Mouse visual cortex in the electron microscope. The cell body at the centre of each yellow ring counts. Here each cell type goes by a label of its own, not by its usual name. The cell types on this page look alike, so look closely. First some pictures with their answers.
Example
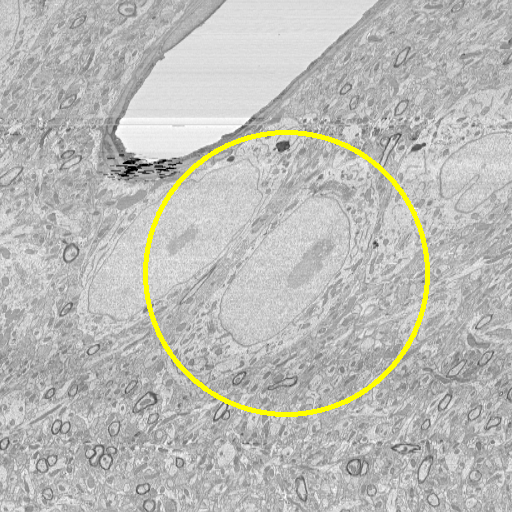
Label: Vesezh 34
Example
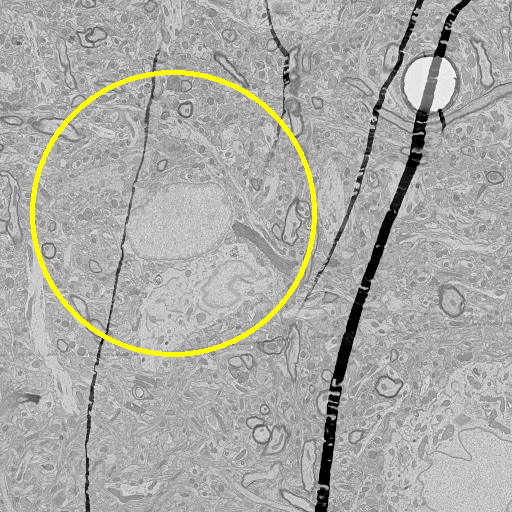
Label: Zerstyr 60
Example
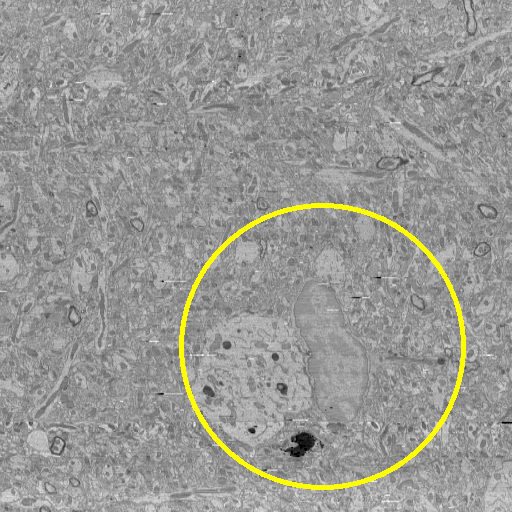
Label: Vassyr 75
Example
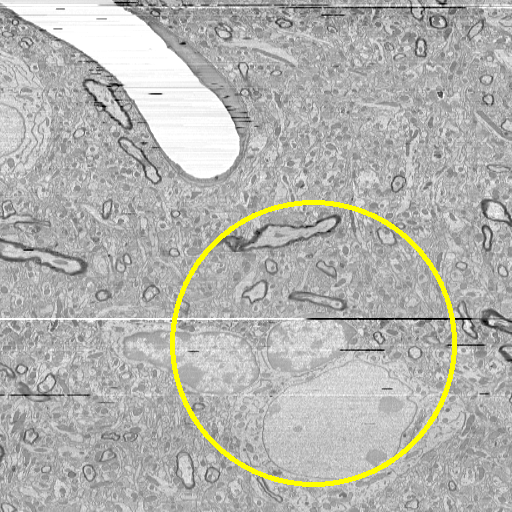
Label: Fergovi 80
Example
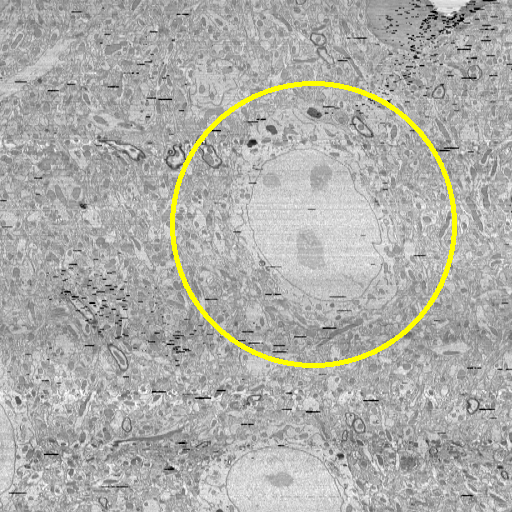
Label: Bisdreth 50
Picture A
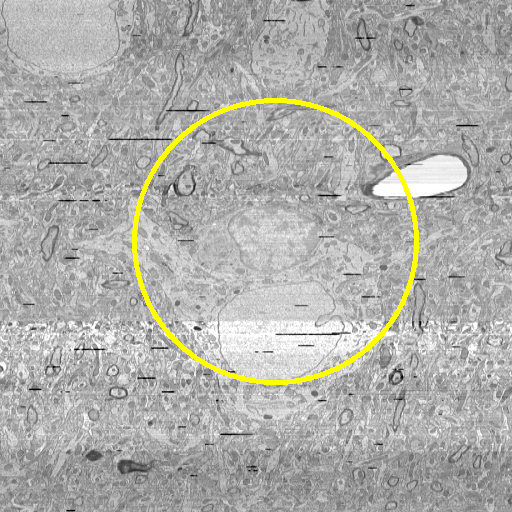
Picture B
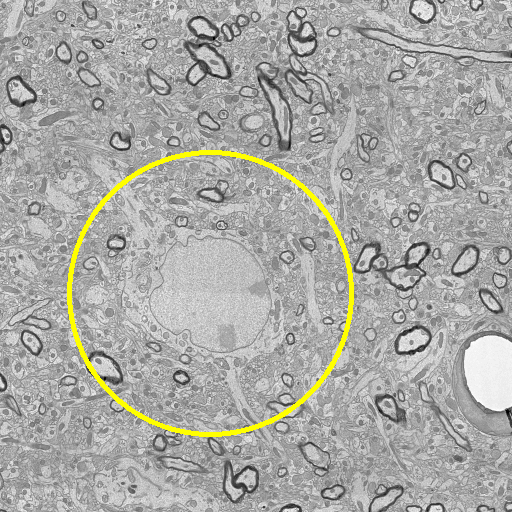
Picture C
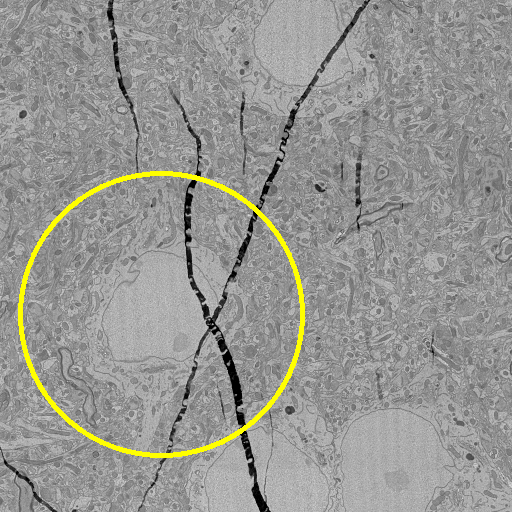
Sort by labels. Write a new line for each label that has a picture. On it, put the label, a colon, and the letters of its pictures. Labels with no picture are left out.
Fergovi 80: A
Bisdreth 50: B, C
